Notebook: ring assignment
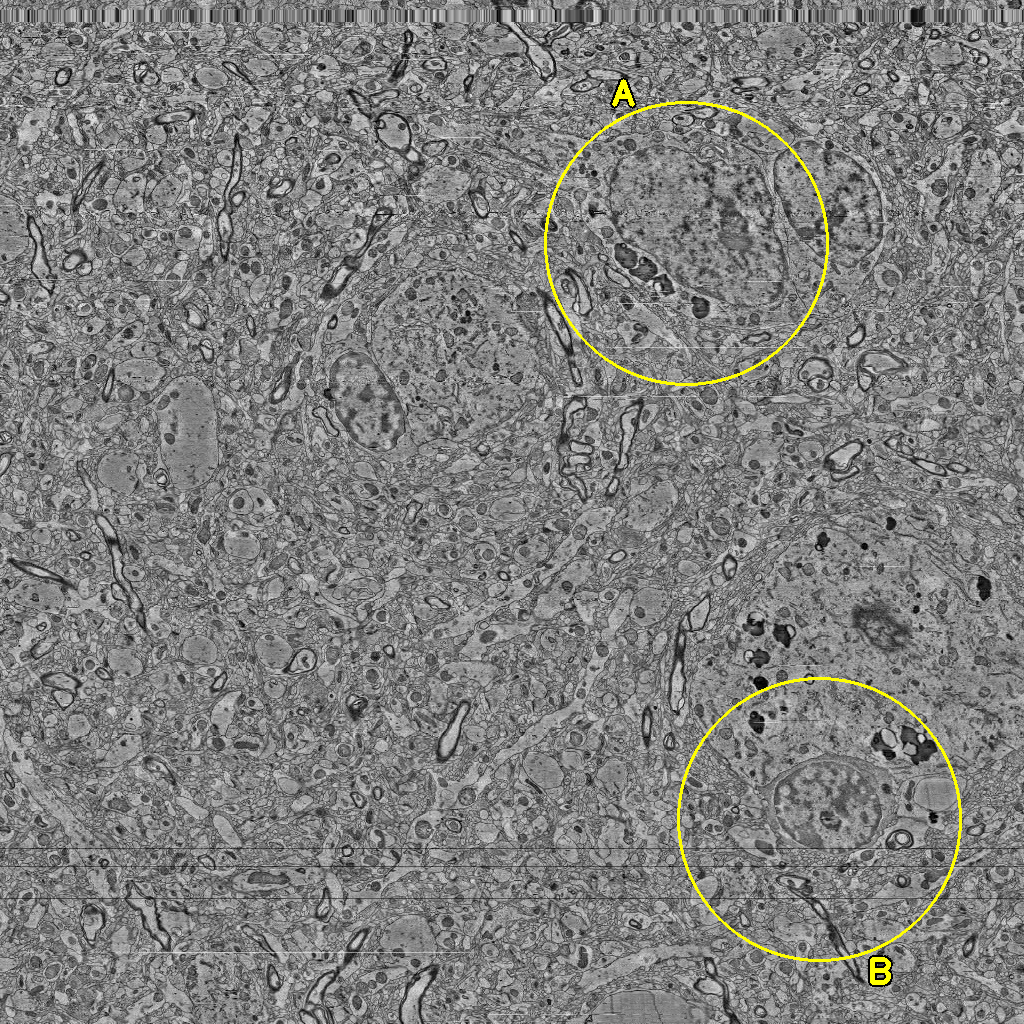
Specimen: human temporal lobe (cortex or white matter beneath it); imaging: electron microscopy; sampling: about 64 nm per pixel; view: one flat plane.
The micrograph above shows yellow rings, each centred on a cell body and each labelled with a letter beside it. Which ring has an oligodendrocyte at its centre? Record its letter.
B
